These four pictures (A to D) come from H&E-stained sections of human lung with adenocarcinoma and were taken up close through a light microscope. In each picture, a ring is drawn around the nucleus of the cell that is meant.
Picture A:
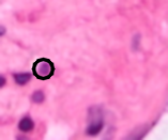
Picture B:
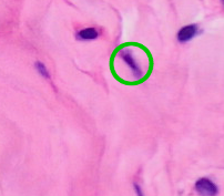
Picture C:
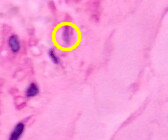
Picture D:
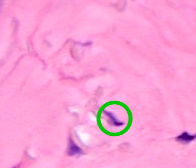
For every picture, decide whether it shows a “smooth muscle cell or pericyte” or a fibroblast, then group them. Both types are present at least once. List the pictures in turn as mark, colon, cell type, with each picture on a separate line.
A: smooth muscle cell or pericyte
B: fibroblast
C: smooth muscle cell or pericyte
D: fibroblast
